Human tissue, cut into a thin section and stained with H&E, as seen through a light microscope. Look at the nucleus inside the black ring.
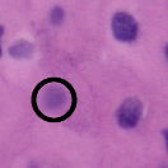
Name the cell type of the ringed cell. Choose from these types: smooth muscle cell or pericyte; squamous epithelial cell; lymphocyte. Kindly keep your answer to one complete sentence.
The expected answer is simply that the ringed cell is a squamous epithelial cell.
